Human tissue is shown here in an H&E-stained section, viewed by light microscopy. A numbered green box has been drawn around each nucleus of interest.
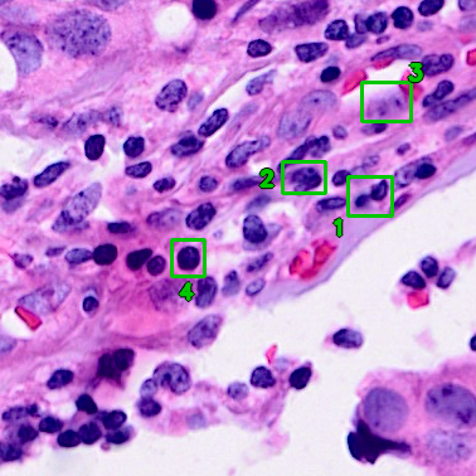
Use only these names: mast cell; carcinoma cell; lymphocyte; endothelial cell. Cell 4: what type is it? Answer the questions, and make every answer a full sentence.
It is as a lymphocyte that the cell numbered 4 is identified.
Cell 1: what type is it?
The identity of cell 1 is that of a lymphocyte.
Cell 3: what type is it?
Cell 3 should be recorded as an endothelial cell.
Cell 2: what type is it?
The numeral 2 marks a lymphocyte in this section.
